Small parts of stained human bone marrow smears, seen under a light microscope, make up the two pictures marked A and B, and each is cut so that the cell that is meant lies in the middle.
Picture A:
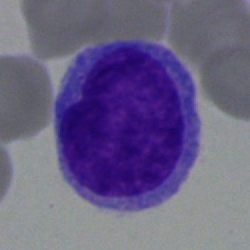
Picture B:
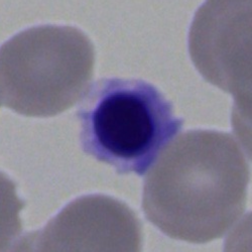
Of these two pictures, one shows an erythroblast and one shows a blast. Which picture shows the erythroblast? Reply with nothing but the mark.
B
